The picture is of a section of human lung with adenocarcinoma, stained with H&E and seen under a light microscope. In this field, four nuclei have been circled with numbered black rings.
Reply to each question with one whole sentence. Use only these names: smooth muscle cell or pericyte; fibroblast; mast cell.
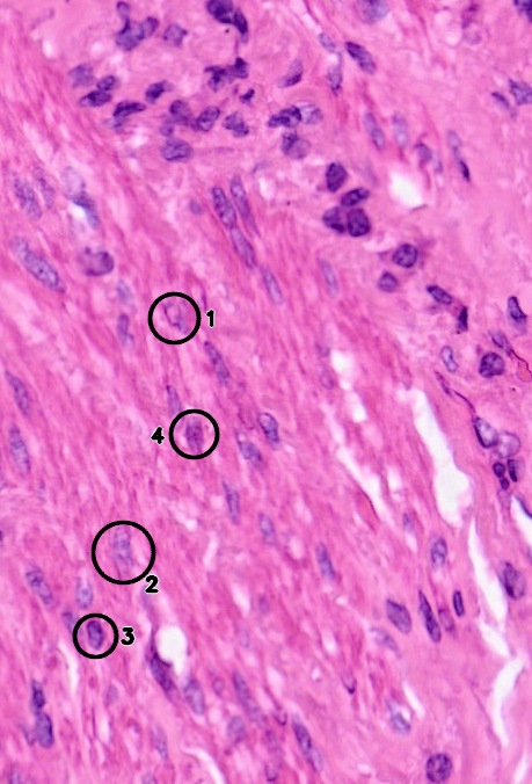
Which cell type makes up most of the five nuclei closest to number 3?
Of the five nuclei nearest to number 3, most belong to smooth muscle cells or pericytes.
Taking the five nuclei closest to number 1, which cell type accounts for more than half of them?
Smooth muscle cells or pericytes account for more than half of the five nuclei nearest to number 1.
